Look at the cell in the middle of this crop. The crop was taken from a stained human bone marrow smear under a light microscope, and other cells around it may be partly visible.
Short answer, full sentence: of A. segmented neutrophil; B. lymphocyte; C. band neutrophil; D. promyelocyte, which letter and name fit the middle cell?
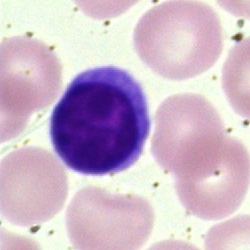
Option B holds up: the cell in the middle is a lymphocyte.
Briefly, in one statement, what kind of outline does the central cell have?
Edge check done: smooth outline, no projections present.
